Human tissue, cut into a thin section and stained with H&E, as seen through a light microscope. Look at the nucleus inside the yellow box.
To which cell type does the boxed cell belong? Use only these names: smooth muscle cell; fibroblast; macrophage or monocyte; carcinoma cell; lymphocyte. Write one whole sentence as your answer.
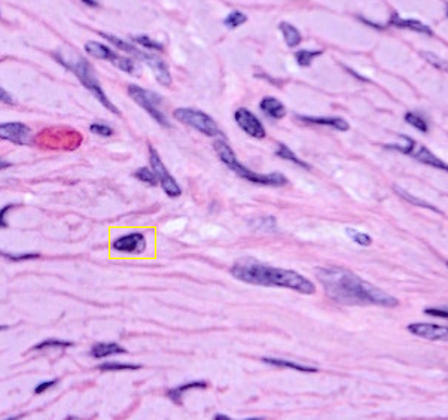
In this field of tissue, the boxed cell is a lymphocyte.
